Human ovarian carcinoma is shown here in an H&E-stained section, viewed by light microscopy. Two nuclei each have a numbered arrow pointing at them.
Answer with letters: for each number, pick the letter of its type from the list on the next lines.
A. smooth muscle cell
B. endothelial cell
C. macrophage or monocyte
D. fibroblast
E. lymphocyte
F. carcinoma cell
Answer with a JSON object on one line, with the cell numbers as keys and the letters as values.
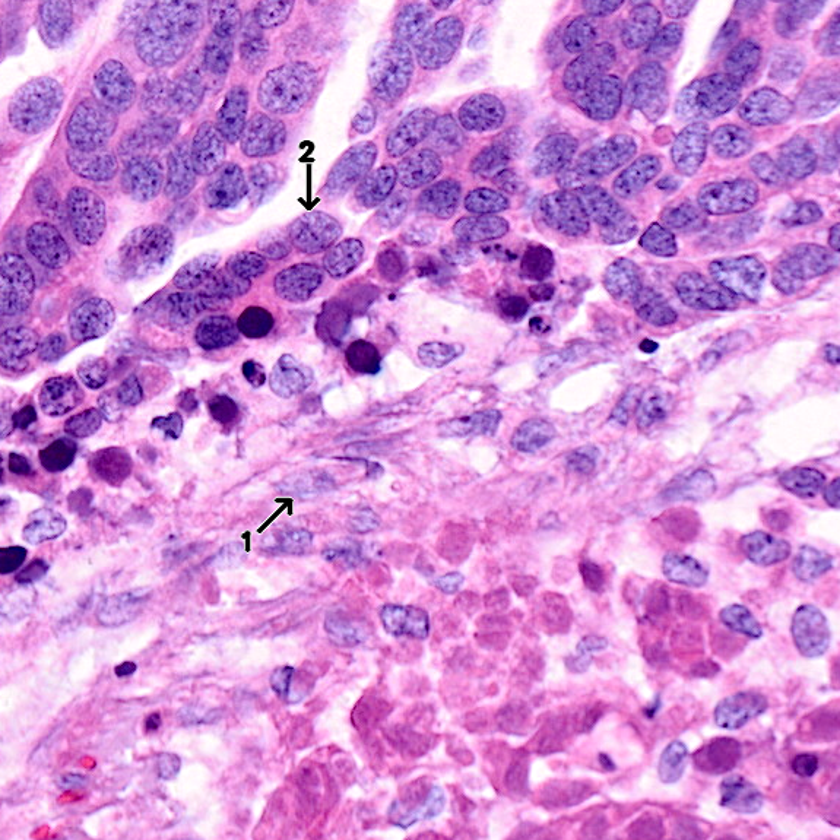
{"1": "D", "2": "F"}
